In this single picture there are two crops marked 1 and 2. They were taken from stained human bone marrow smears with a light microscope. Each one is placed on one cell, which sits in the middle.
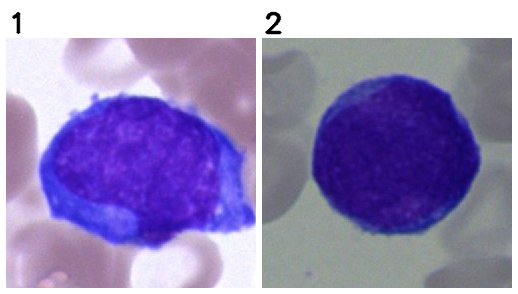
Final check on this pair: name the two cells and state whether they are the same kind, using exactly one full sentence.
Yes, in the middle of both crops lie blasts.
